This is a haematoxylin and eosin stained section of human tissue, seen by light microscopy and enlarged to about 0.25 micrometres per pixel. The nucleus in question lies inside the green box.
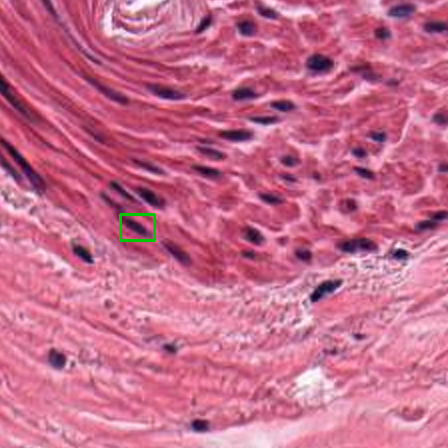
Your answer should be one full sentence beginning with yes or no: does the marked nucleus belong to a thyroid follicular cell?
No, the marked nucleus is not housed in a thyroid follicular cell.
